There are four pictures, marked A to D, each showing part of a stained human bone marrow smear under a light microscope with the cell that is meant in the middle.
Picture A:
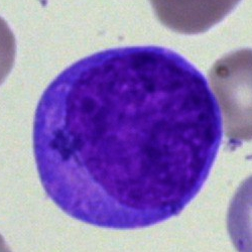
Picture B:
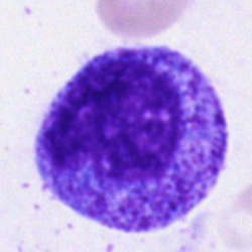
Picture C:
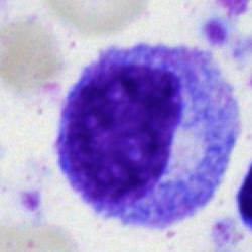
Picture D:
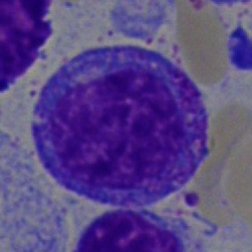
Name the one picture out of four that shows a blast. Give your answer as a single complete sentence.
The cell in picture A is the blast.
